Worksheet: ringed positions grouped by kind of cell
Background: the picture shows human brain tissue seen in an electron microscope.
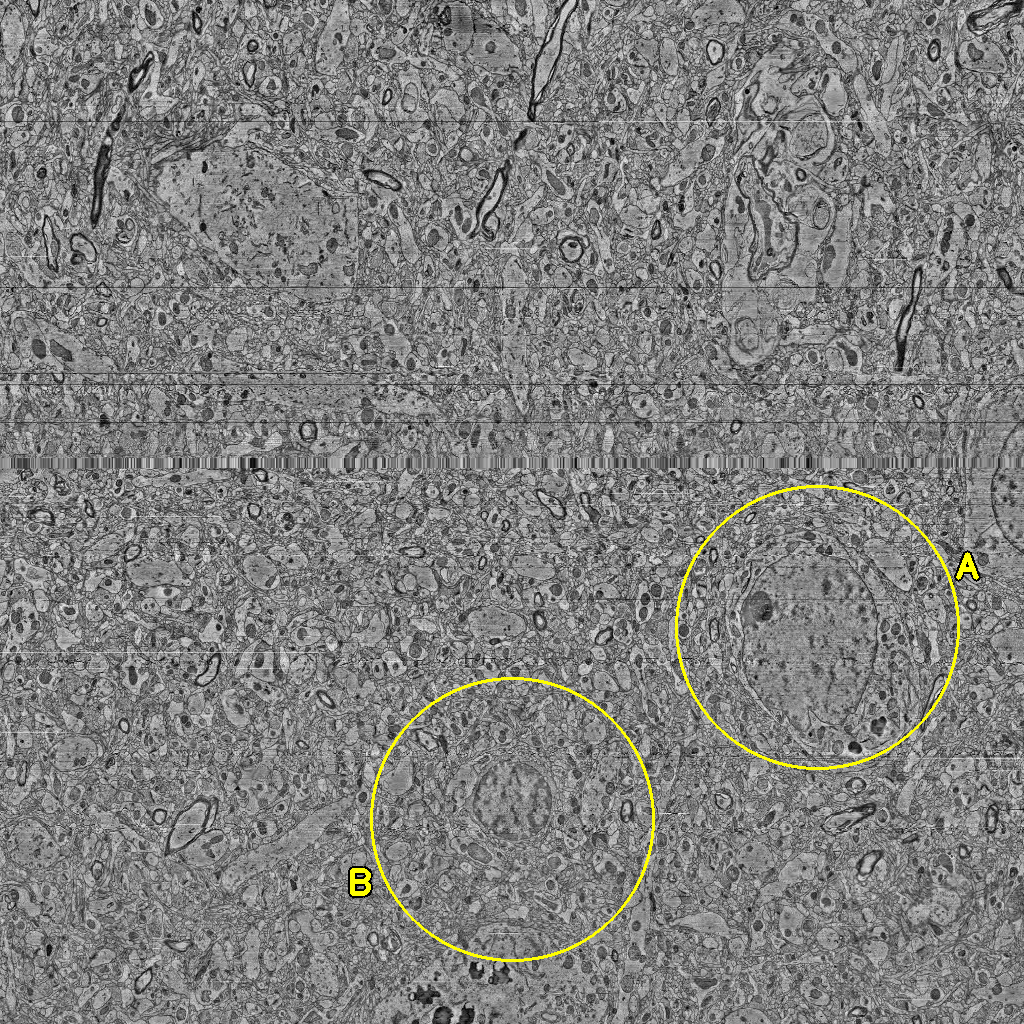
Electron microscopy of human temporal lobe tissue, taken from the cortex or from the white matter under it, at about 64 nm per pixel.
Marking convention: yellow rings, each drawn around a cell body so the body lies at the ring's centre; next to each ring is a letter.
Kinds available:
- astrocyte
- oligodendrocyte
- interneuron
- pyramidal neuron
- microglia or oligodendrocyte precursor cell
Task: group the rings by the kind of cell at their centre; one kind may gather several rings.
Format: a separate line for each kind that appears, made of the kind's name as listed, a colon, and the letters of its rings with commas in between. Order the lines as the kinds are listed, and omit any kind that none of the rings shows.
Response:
oligodendrocyte: B
interneuron: A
